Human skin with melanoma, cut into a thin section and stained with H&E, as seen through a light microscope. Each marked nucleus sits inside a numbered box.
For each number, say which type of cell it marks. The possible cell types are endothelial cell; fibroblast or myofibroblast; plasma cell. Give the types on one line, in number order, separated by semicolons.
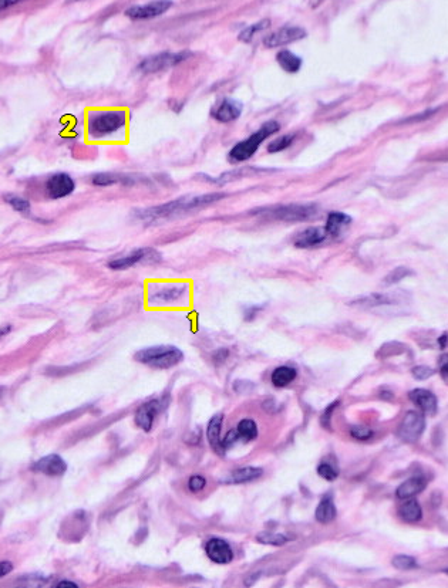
fibroblast or myofibroblast; plasma cell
